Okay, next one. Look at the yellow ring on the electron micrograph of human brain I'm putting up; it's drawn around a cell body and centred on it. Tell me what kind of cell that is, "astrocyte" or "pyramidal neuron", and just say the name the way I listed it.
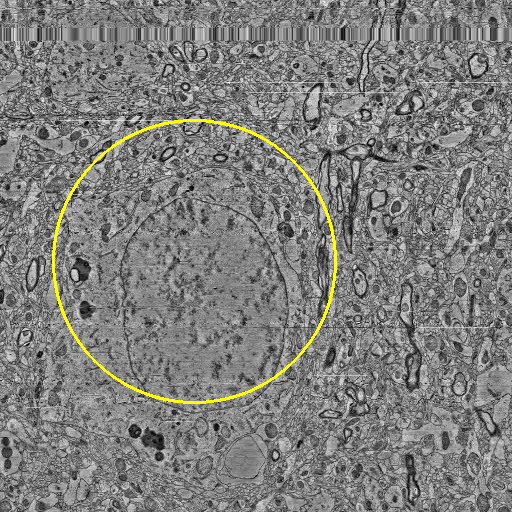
pyramidal neuron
